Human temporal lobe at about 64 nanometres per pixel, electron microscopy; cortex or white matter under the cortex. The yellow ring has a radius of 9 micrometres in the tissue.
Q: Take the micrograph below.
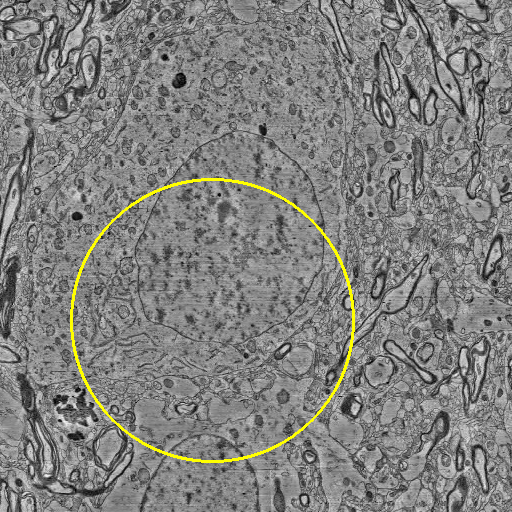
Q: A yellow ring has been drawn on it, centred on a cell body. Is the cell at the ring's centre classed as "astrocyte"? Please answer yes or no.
No, its kind is another one.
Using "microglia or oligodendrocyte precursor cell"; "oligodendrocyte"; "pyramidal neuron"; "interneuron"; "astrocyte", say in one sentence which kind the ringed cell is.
What the ring is centred on is a pyramidal neuron.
